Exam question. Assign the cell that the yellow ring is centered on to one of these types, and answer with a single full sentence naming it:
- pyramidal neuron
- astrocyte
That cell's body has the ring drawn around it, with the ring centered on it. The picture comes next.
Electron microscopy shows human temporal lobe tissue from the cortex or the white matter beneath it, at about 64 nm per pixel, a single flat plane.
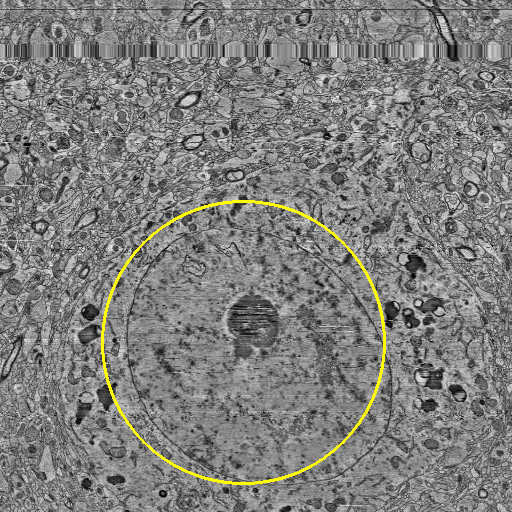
In the micrograph, the cell the yellow ring is centered on is a pyramidal neuron.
